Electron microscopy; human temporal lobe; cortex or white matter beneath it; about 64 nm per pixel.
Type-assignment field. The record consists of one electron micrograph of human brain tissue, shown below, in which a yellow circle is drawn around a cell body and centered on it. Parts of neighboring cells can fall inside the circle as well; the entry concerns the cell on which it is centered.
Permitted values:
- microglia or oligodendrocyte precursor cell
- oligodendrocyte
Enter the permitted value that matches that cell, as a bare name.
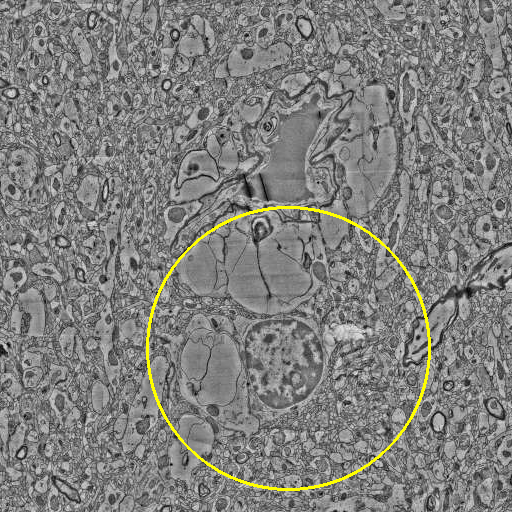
microglia or oligodendrocyte precursor cell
